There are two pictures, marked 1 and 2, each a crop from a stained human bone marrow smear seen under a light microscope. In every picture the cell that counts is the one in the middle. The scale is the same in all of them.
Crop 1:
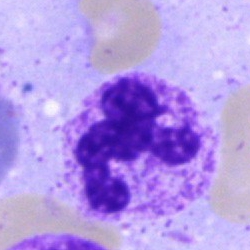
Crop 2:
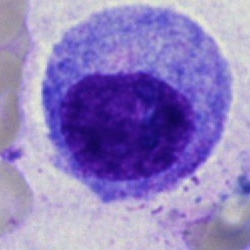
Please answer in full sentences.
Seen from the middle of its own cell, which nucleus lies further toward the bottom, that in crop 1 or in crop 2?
In crop 2 the nucleus is shifted more toward the bottom.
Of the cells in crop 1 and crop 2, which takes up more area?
Crop 2 holds the larger cell; it covers about 1.5 times the area of the cell in crop 1.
